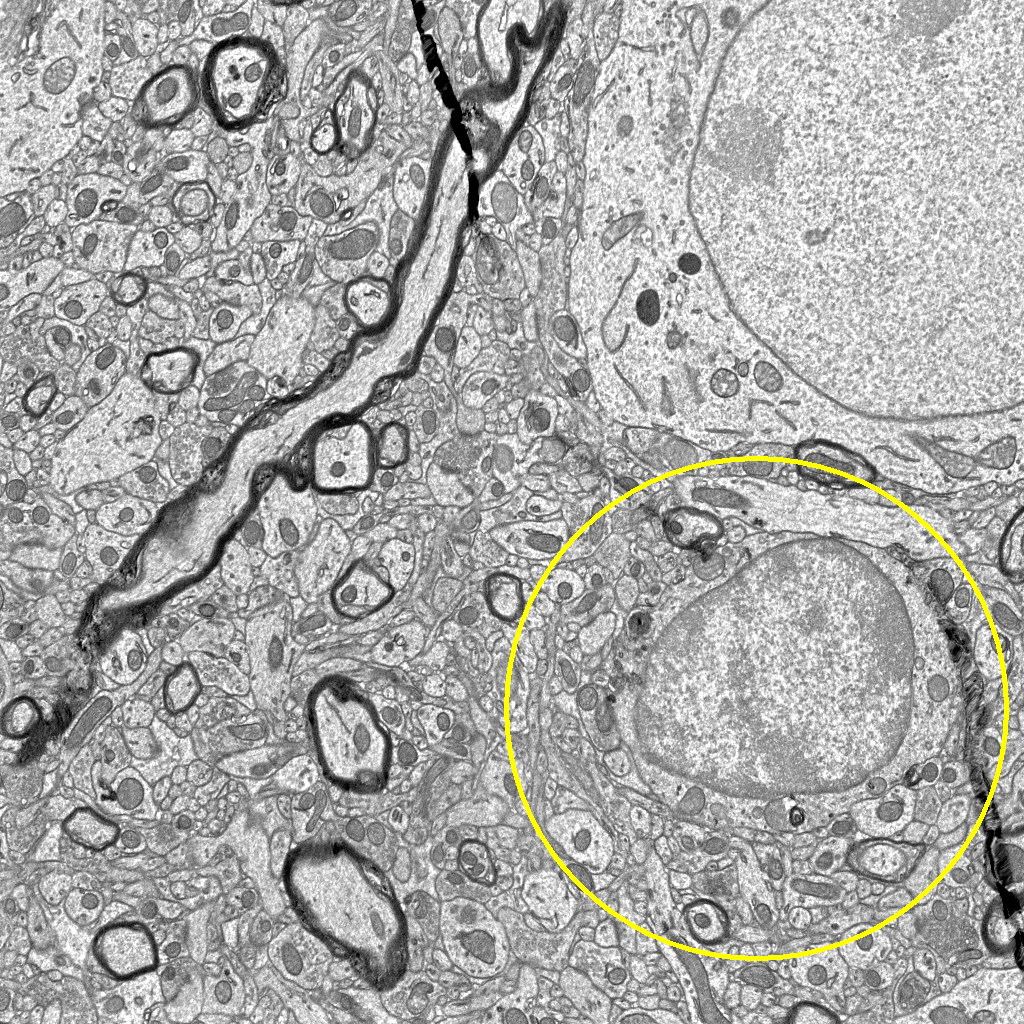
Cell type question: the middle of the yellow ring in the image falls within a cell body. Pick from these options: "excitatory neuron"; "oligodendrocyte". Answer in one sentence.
The cell body at the center of the ring belongs to an oligodendrocyte.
